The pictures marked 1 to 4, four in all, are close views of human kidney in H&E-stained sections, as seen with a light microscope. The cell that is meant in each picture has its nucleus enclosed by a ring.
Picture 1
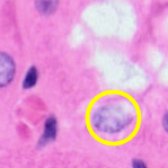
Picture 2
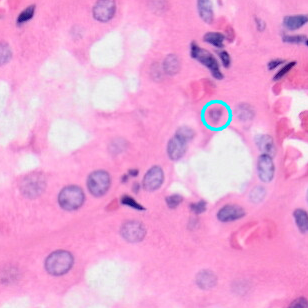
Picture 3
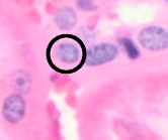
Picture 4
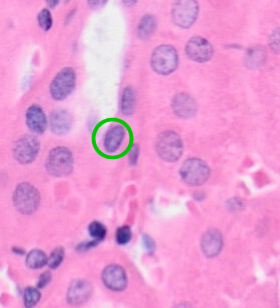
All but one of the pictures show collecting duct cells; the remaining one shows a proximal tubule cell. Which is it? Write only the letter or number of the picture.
1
